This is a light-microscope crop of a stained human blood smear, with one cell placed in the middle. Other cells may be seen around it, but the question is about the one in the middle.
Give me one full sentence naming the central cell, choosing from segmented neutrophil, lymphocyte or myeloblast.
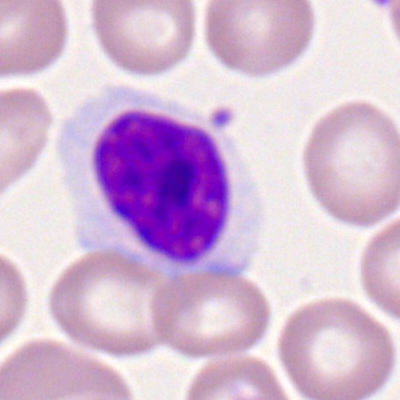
At the center of the crop sits a lymphocyte.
